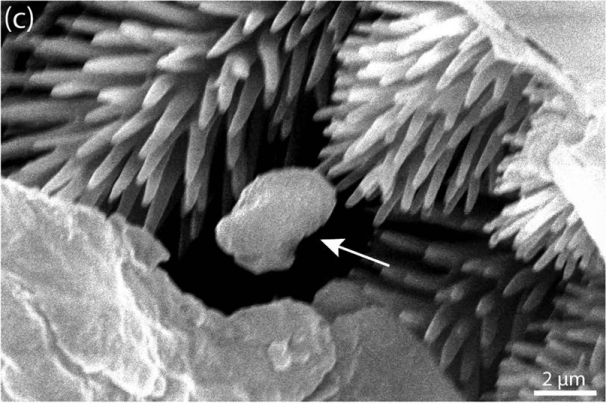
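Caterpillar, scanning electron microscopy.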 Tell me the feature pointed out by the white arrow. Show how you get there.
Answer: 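A smooth irregular body a few µm across lies between spiny outgrowths. It is smooth-surfaced, unlike the spiny clusters around it.
Answer: micro-particles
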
